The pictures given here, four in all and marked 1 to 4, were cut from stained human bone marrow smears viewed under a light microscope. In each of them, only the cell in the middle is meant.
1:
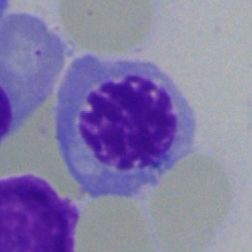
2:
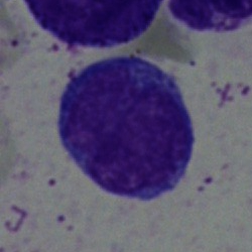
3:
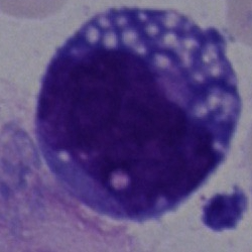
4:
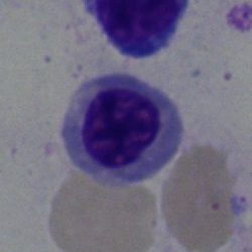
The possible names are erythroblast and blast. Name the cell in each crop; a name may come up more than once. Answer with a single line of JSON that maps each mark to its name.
{"1": "erythroblast", "2": "blast", "3": "blast", "4": "erythroblast"}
